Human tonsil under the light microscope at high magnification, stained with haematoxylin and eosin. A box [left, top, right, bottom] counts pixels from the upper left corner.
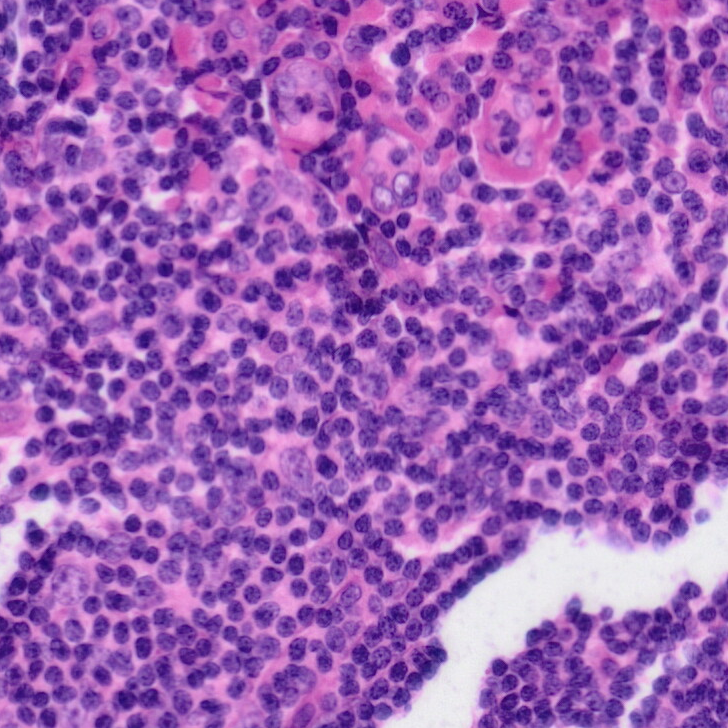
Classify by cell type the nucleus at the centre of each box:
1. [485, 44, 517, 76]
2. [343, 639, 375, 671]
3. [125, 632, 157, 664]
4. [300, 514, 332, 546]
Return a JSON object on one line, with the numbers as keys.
{"1": "plasma cell", "2": "small lymphocyte", "3": "small lymphocyte", "4": "small lymphocyte"}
